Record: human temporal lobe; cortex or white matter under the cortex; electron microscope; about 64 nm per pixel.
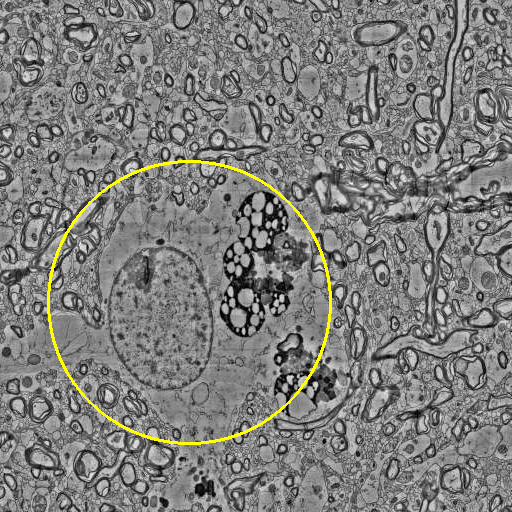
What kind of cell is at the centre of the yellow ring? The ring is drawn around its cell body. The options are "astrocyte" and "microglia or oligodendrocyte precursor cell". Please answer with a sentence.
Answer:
The yellow ring marks the cell body of an astrocyte.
